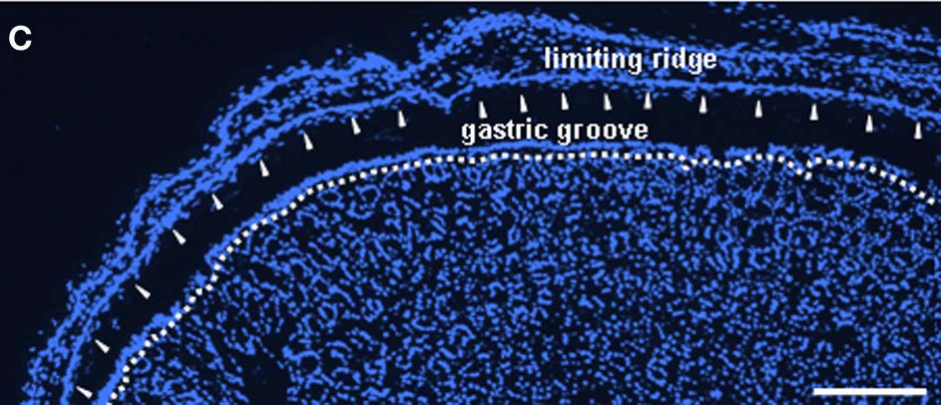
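The lower part of the field is a broad, densely packed expanse of nuclei from the corpus mucosa, with its uppermost cell layer running as a smooth, gently curving edge. Above it lies a narrow dark, empty gap, and beyond that a thin strip of tissue with nuclei in a few layers curves over the mucosa, roughly following its edge.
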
